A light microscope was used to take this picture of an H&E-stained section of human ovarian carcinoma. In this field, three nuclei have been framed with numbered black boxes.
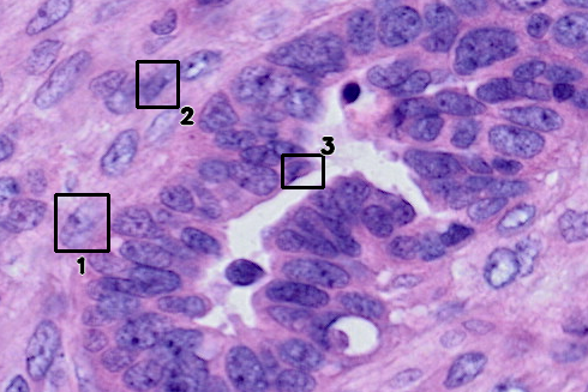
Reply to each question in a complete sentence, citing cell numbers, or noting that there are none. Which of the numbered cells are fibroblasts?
The numbers 1 and 2 refer to cells that are fibroblasts.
